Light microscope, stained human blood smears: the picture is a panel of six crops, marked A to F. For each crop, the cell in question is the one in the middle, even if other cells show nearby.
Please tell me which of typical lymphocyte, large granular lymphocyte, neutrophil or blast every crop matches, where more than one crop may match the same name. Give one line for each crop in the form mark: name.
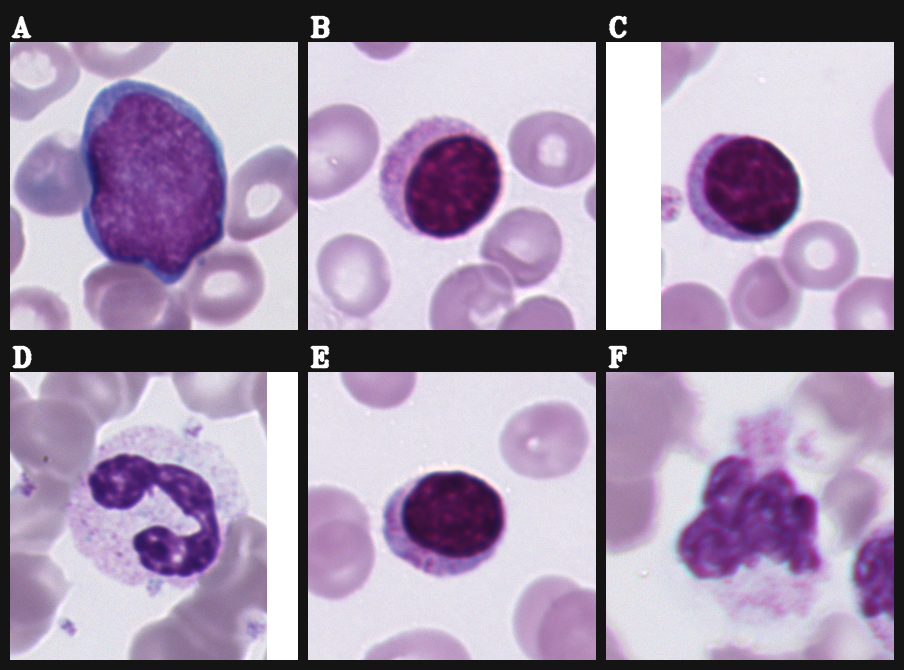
A: blast
B: large granular lymphocyte
C: large granular lymphocyte
D: neutrophil
E: large granular lymphocyte
F: neutrophil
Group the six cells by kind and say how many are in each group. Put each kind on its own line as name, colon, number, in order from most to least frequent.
large granular lymphocyte: 3
neutrophil: 2
blast: 1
